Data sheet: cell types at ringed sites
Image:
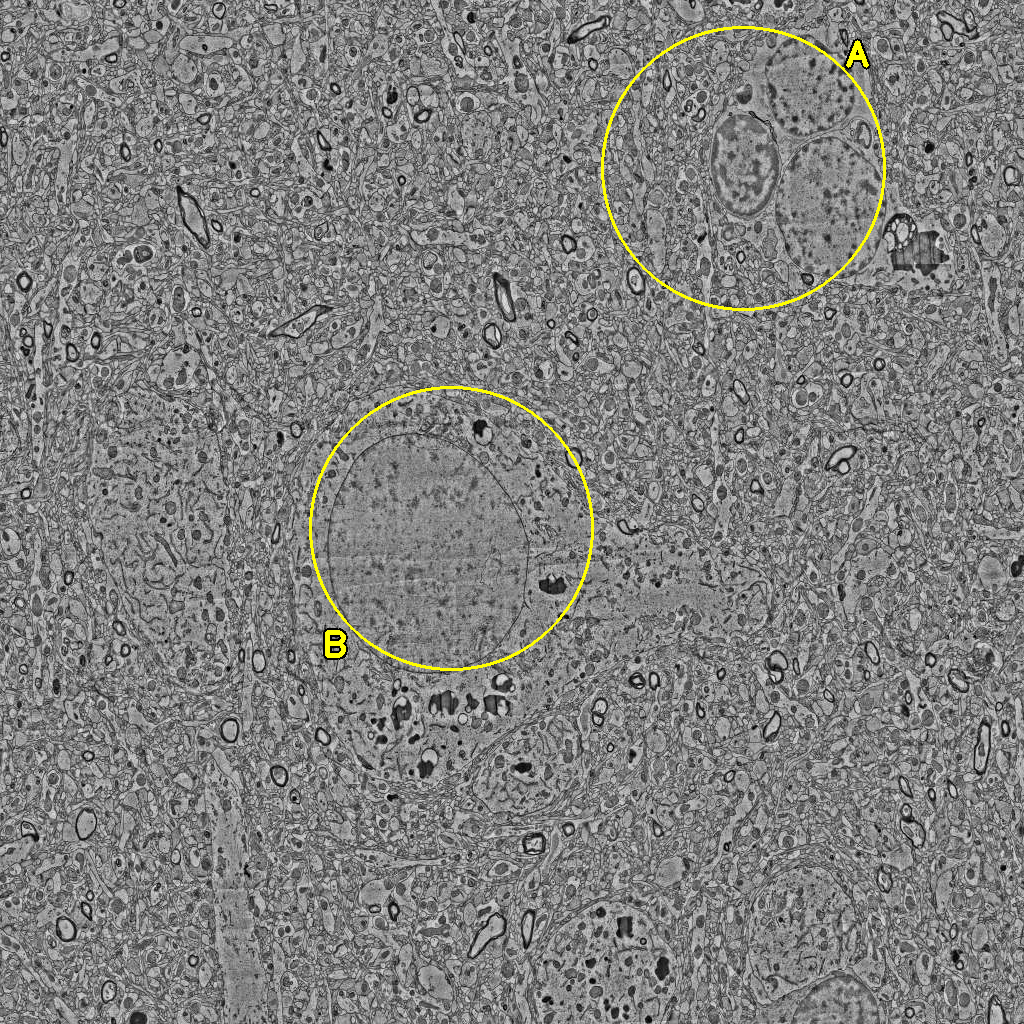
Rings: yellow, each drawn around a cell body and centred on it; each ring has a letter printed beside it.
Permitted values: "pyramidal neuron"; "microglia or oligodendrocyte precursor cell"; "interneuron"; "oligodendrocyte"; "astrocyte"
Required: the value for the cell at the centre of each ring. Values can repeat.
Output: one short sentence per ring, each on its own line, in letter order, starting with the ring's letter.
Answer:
Ring A has an oligodendrocyte at its centre.
Ring B has a pyramidal neuron at its centre.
